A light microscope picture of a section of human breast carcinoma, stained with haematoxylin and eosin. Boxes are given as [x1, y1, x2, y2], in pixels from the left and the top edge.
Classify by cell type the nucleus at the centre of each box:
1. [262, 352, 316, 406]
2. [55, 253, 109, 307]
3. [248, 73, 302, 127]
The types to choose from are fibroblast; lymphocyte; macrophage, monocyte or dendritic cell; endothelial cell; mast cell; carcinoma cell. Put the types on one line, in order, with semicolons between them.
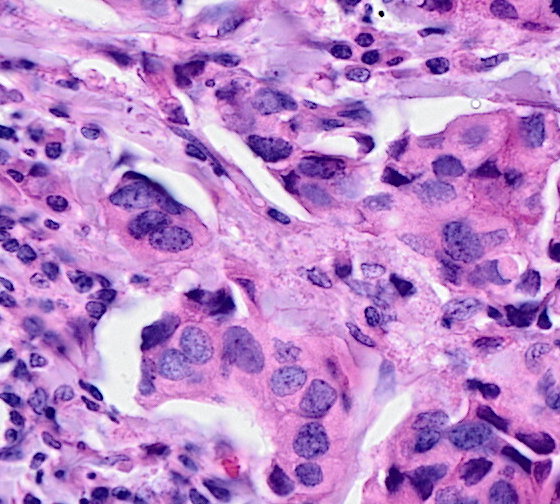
carcinoma cell; lymphocyte; carcinoma cell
